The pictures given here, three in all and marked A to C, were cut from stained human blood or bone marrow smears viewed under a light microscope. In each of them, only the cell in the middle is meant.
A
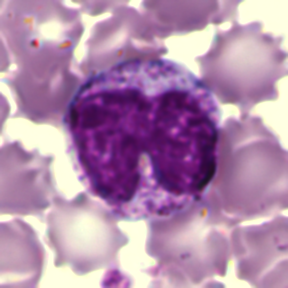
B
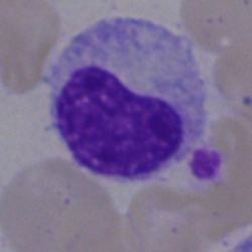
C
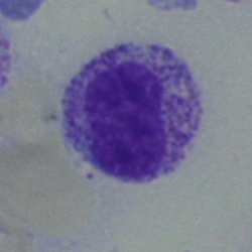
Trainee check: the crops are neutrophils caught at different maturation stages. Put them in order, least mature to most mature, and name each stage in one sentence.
Along the maturation pathway, from earliest to latest, the order is crop C (a myelocyte), crop B (a metamyelocyte) and crop A (a band neutrophil).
